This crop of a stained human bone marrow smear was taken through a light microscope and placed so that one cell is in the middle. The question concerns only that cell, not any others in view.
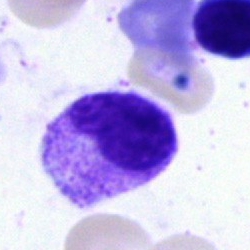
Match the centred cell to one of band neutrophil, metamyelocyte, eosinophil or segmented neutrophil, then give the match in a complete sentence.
As for the cell in the middle, it is a metamyelocyte.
